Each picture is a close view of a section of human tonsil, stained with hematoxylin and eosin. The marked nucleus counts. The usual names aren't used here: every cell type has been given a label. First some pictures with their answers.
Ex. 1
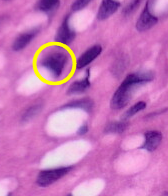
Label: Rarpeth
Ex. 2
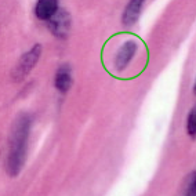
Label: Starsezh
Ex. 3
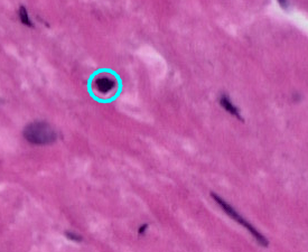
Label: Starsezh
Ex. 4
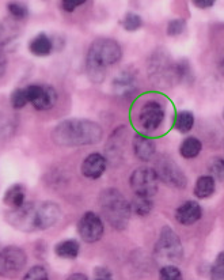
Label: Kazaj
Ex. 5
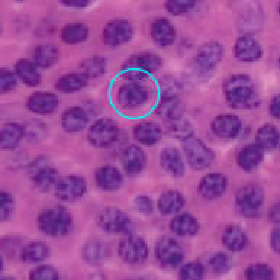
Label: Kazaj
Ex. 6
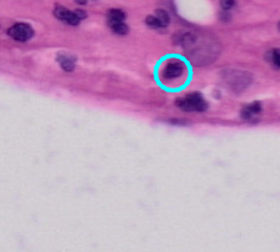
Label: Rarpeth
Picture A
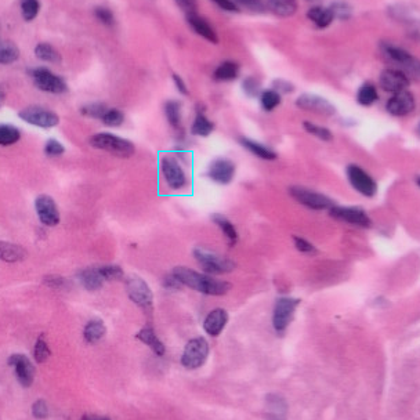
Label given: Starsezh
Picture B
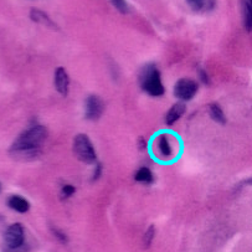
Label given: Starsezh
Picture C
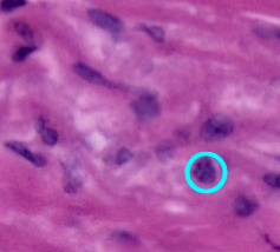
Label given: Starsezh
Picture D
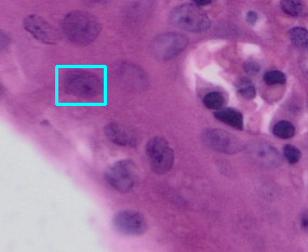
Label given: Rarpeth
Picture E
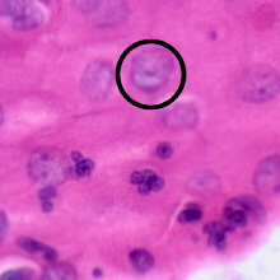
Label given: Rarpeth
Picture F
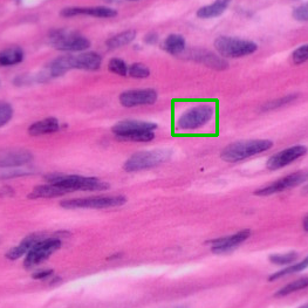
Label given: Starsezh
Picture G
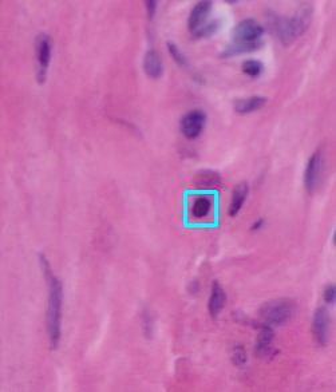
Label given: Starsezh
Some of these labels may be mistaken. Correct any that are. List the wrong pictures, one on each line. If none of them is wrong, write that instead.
No label is wrong.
